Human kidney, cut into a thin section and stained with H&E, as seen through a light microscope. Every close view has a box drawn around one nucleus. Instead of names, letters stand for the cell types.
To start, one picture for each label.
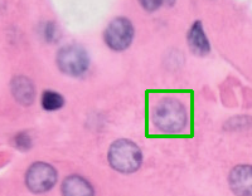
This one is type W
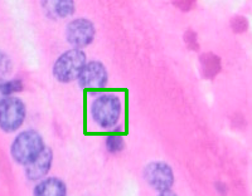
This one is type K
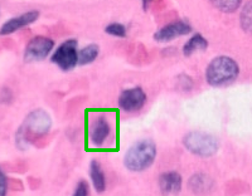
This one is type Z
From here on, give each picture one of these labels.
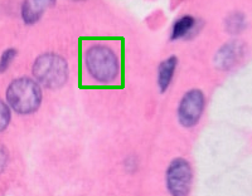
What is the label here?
type W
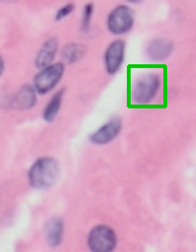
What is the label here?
type K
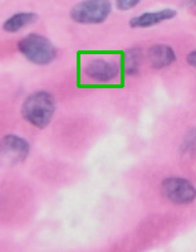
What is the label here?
type W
